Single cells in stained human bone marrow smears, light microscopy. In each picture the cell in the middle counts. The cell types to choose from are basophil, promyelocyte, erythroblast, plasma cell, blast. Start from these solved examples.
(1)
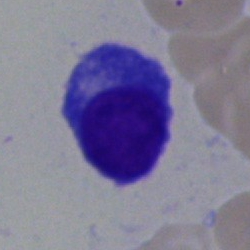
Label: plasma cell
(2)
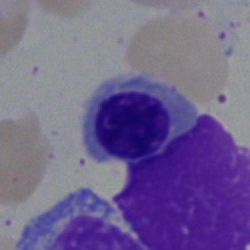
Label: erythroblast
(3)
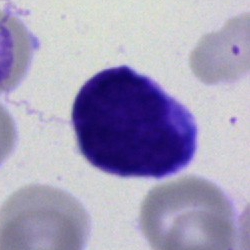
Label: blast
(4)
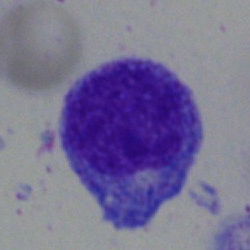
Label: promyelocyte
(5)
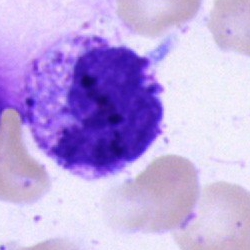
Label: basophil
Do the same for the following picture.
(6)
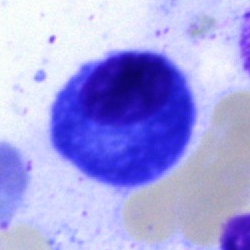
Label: plasma cell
